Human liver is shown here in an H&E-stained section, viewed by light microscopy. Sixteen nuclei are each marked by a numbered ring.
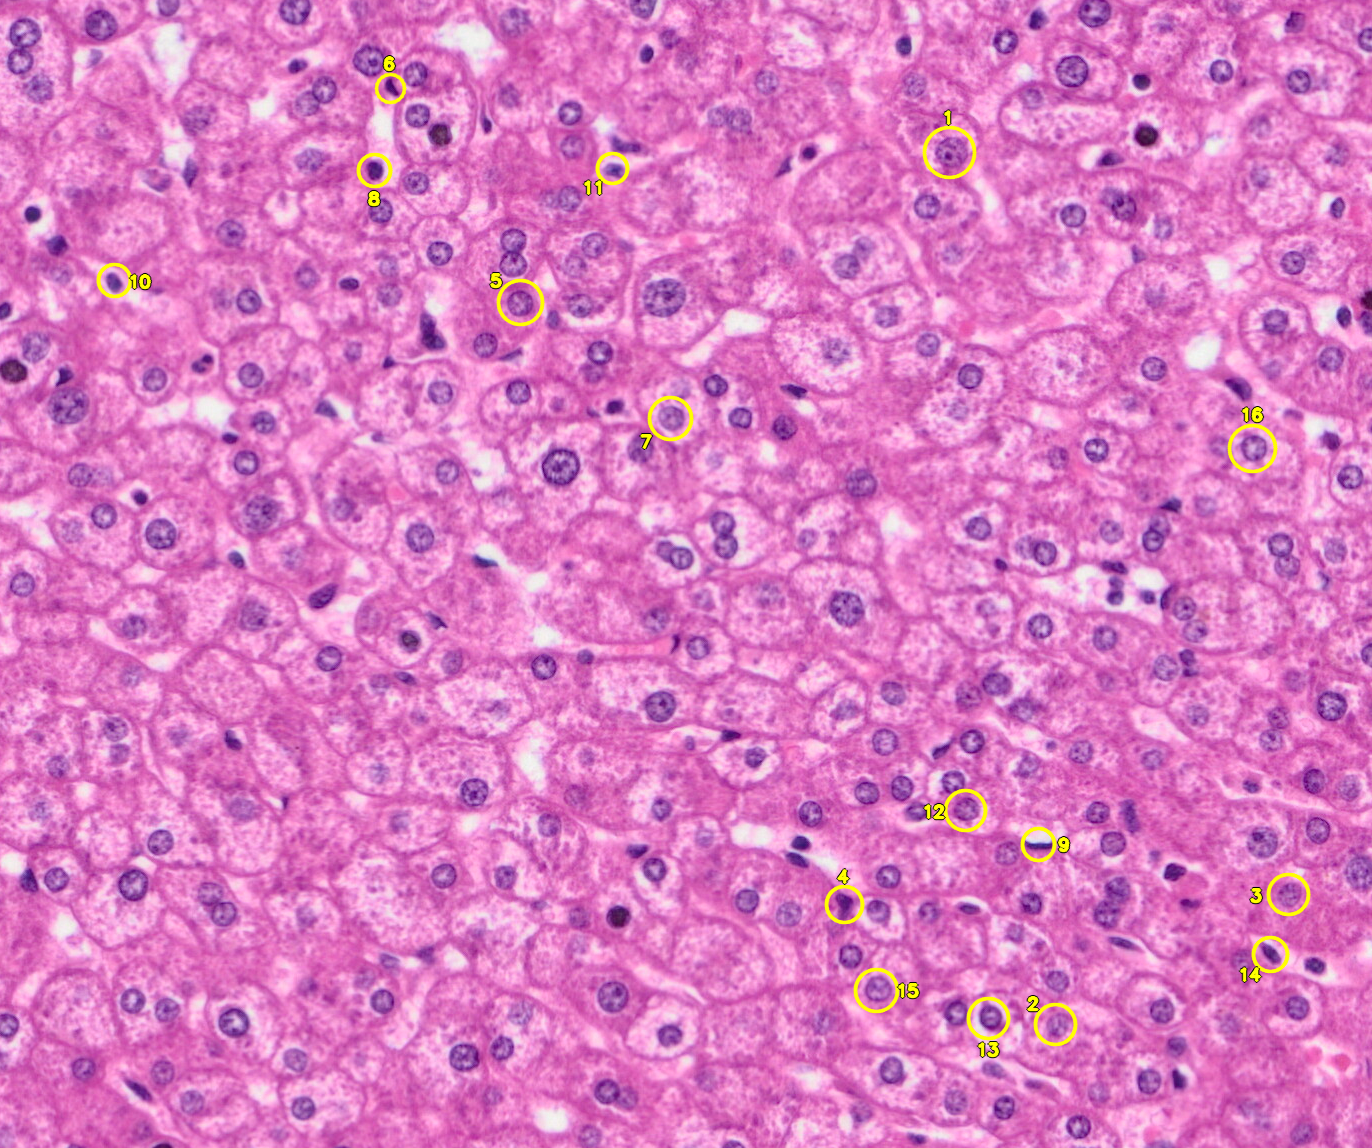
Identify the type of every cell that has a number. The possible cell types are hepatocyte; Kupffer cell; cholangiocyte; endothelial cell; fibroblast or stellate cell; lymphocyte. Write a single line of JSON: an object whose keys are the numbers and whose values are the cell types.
{"1": "hepatocyte", "2": "hepatocyte", "3": "hepatocyte", "4": "fibroblast or stellate cell", "5": "hepatocyte", "6": "fibroblast or stellate cell", "7": "hepatocyte", "8": "lymphocyte", "9": "endothelial cell", "10": "lymphocyte", "11": "lymphocyte", "12": "hepatocyte", "13": "hepatocyte", "14": "lymphocyte", "15": "hepatocyte", "16": "hepatocyte"}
